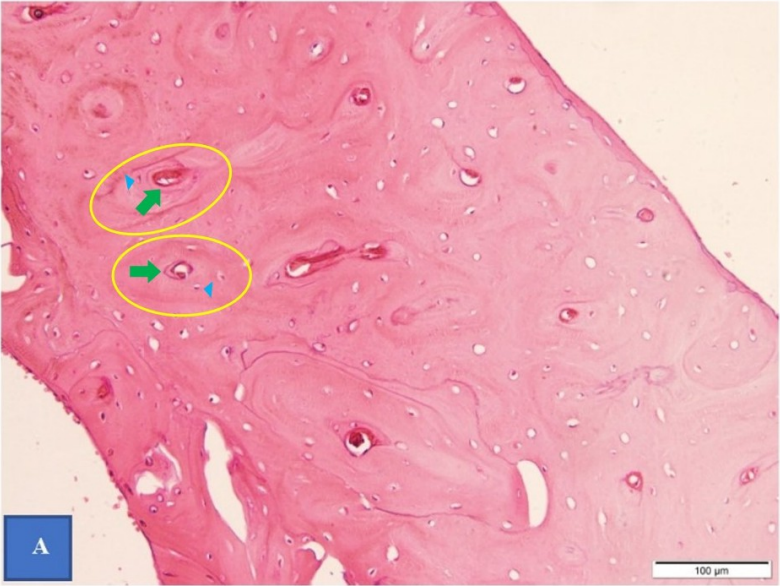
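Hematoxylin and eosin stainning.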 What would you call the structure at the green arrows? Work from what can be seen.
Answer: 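The arrows point to small round to oval channels within the eosin-pink matrix. The channels are surrounded by concentric layers of matrix.
Conclusion: Haversian canals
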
